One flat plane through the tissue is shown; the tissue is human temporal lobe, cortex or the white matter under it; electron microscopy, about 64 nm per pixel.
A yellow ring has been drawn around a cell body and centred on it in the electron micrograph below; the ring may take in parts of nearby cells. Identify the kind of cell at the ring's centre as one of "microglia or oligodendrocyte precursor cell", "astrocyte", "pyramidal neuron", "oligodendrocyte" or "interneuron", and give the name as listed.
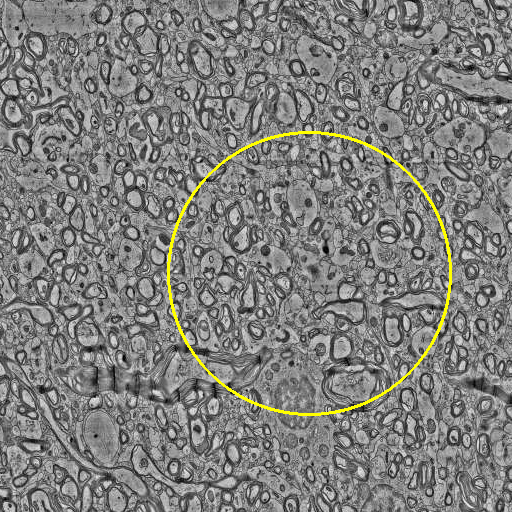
microglia or oligodendrocyte precursor cell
